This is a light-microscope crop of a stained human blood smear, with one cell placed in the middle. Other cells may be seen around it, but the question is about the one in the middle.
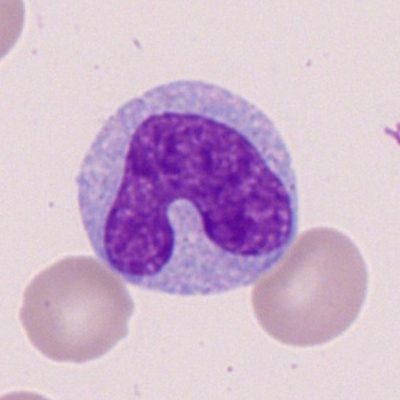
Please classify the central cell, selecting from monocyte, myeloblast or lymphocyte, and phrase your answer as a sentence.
As for the cell in the middle, it is a monocyte.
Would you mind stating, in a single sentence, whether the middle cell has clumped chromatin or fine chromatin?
Check the chromatin: it is fine and not coarsely clumped.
